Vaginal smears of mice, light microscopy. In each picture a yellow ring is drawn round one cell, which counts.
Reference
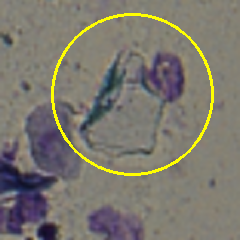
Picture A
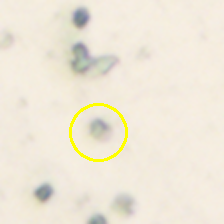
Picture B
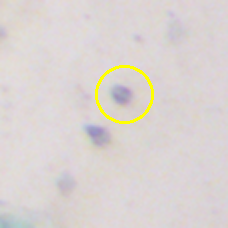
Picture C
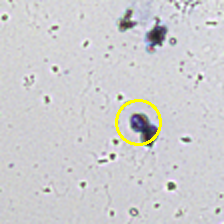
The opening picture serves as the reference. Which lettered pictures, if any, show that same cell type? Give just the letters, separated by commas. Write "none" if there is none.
none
